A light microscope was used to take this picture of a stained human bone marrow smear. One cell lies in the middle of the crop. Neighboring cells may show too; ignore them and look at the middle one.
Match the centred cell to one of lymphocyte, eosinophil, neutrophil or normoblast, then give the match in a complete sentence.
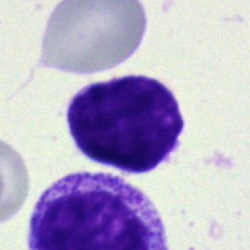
To answer, the cell in the center of the crop is a lymphocyte.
